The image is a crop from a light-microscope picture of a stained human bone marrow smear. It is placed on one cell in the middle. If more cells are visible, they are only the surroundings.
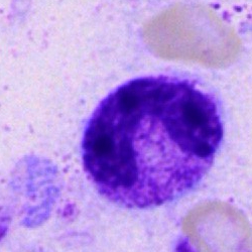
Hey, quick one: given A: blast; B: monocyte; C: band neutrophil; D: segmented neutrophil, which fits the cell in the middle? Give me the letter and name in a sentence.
The correct option is C, as the central cell is a band neutrophil.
